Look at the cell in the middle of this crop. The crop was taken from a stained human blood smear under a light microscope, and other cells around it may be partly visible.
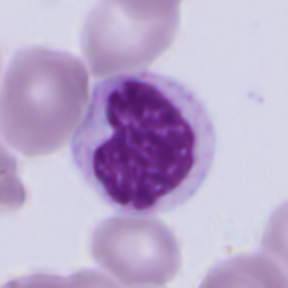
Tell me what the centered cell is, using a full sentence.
In short, the cell at the center is a metamyelocyte.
